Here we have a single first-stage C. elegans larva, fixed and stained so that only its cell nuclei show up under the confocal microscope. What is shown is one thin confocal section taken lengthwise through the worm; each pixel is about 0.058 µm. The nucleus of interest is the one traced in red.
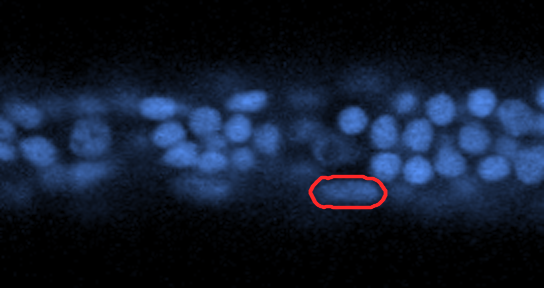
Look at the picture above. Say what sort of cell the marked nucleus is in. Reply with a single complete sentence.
This nucleus is from a body wall muscle cell.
